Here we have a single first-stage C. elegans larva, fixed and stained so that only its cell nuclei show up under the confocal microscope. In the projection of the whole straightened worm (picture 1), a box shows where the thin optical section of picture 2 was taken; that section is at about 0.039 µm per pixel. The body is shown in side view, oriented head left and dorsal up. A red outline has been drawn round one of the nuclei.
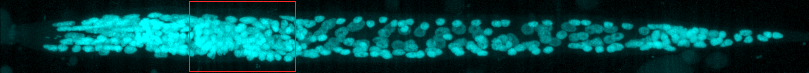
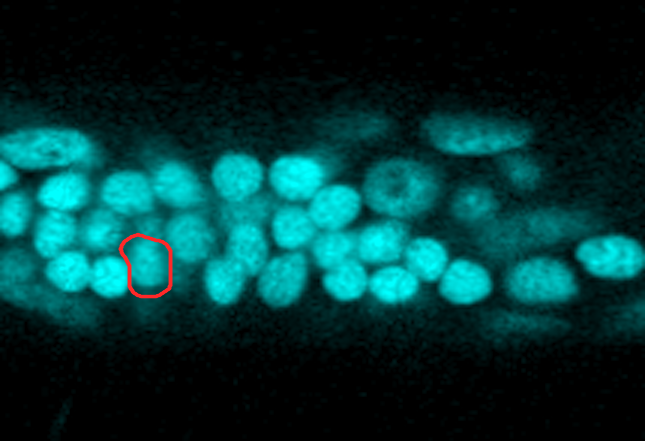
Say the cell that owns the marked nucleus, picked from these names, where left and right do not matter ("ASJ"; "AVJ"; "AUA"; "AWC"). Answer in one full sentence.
The marked nucleus is that of AWC, a neuron.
